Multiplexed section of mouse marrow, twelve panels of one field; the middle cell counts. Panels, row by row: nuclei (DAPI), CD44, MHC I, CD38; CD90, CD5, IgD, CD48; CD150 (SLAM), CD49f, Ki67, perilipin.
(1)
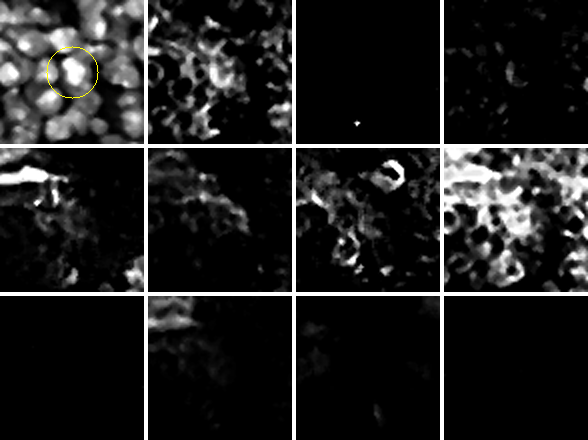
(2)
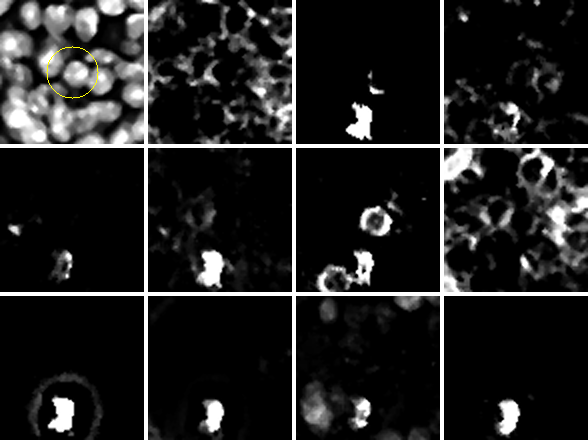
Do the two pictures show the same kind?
Yes, both are B cells.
